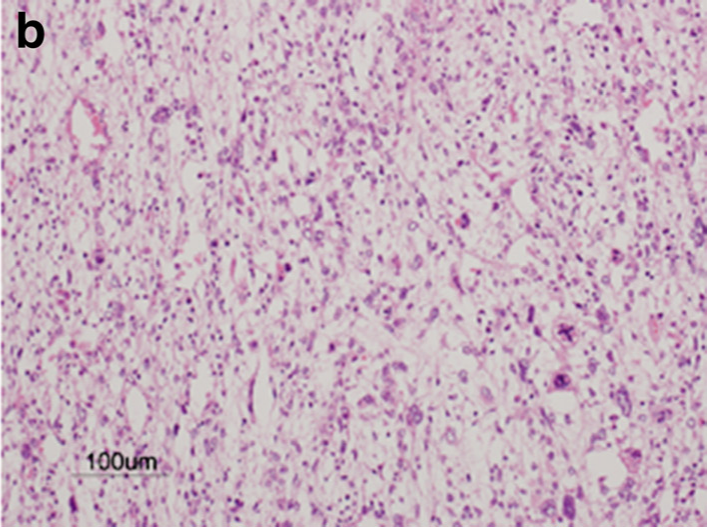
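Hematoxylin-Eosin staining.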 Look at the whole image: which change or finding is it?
Pleomorphic and polynuclear dyskaryotic cells.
